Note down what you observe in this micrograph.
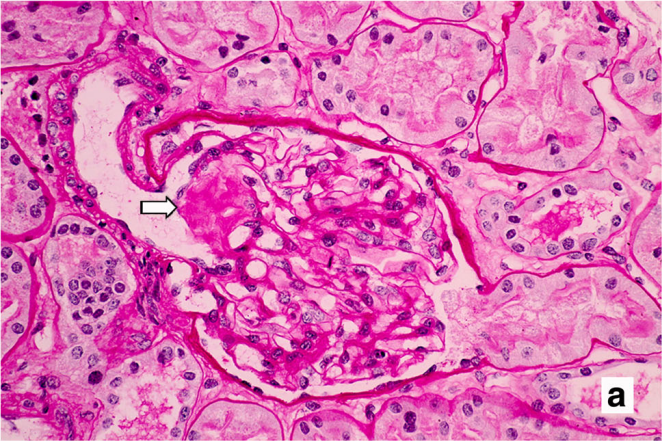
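This is a renal glomerulus within its Bowman capsule, surrounded by cross-sectioned tubules, with basement membranes outlined in magenta. The capillary tuft shows a network of magenta loops with scattered dark nuclei, and a clear urinary space separates it from the thick capsule. At one pole of the tuft, where a vessel enters, there is a smooth, homogeneous pink patch without nuclei that blurs the normal loop pattern. The surrounding tubules have pale, granular pink cytoplasm with round nuclei and thin magenta basement membranes.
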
